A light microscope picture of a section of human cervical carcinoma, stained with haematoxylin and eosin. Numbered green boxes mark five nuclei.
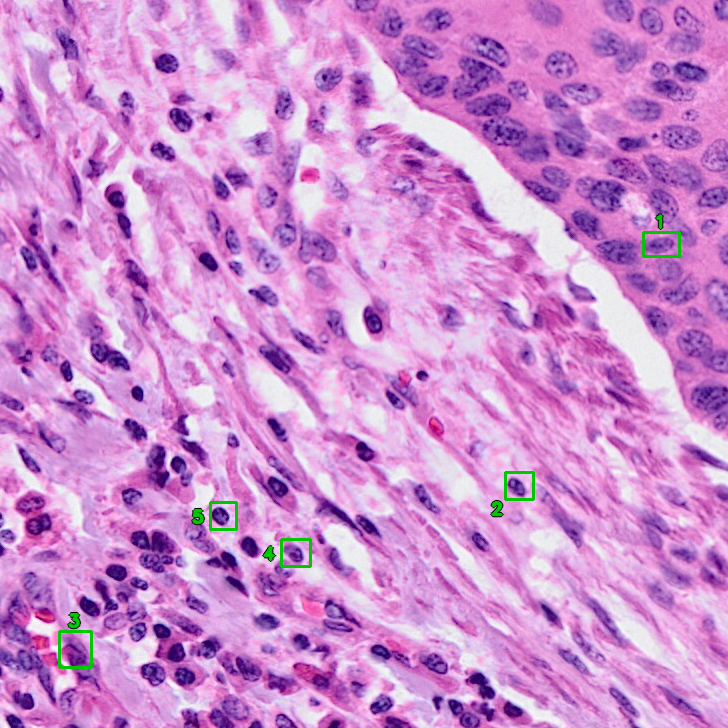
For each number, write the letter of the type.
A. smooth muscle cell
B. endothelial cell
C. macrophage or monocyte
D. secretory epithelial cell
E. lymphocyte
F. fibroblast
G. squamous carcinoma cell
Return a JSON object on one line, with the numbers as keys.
{"1": "G", "2": "E", "3": "B", "4": "E", "5": "E"}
